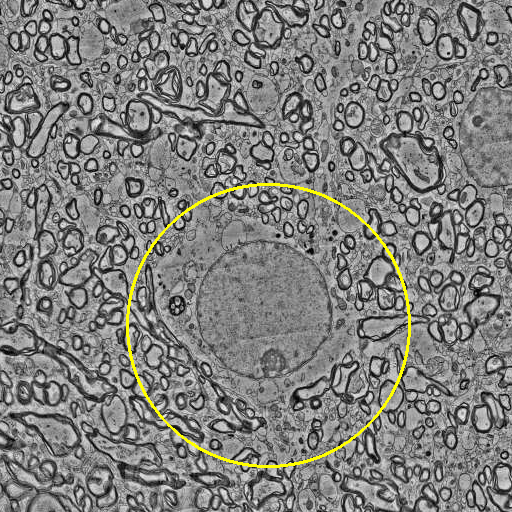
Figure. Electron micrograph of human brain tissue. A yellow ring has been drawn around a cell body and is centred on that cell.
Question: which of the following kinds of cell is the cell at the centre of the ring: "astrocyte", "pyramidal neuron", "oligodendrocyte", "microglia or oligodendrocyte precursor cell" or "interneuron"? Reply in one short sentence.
The cell at the centre of the ring is an astrocyte.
